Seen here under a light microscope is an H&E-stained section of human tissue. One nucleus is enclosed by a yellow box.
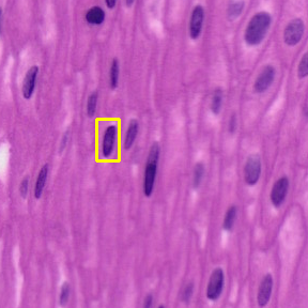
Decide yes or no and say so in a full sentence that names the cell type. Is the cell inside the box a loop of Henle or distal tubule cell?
No, the cell inside the box is best named a squamous epithelial cell, not a loop of Henle or distal tubule cell.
